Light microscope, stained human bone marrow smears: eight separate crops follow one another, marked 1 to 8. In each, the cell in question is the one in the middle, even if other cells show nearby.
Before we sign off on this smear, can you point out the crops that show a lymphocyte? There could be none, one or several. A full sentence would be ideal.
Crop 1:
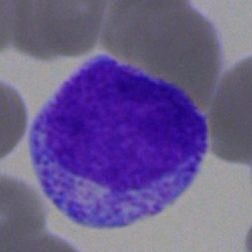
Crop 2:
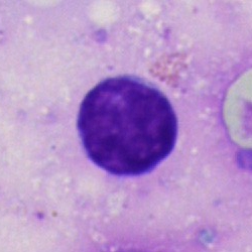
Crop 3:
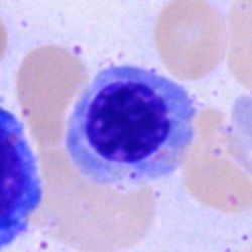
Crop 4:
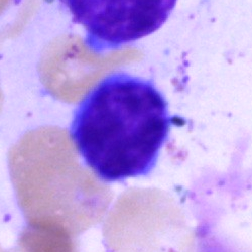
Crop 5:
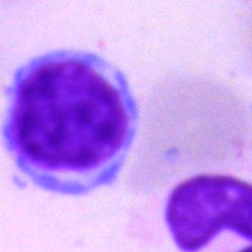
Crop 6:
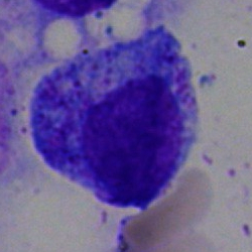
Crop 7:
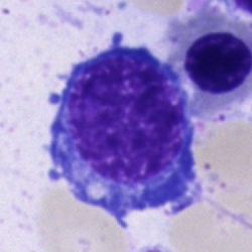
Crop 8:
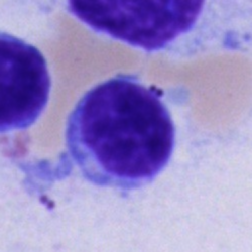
In this series, lymphocytes are shown by crops 2, 4, 5 and 8.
